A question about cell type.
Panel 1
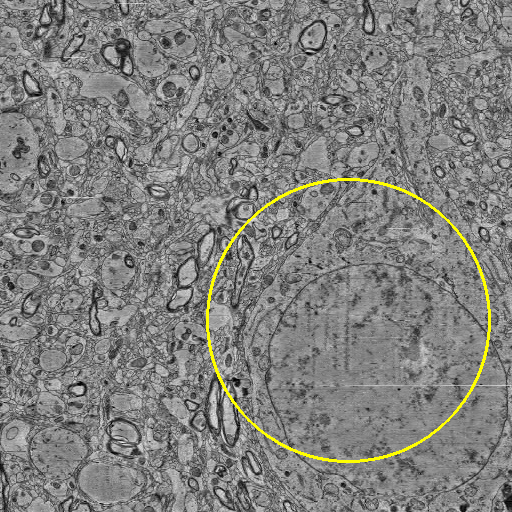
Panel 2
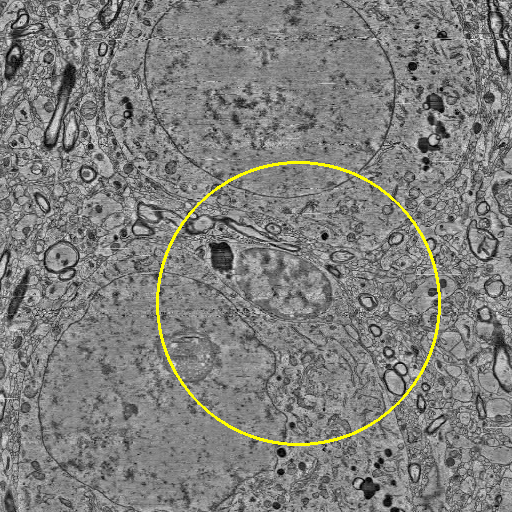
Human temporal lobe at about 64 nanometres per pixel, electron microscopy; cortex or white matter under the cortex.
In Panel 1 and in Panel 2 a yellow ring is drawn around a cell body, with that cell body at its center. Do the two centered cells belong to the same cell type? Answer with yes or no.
no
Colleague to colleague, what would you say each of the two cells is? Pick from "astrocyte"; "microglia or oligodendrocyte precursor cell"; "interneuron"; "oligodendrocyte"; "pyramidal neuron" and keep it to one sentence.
The cell in the first picture is a pyramidal neuron; the second picture's cell is an oligodendrocyte.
